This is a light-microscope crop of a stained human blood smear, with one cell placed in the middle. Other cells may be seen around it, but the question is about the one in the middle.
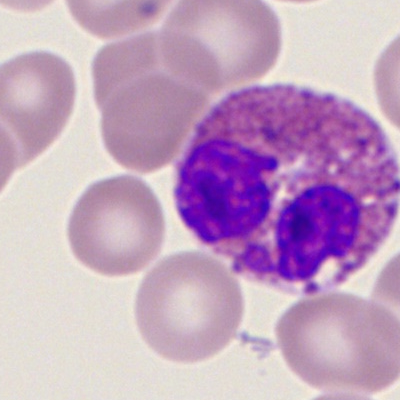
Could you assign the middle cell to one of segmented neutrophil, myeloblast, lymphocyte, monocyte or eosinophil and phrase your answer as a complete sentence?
The cell at the middle of the frame should be recorded as an eosinophil.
